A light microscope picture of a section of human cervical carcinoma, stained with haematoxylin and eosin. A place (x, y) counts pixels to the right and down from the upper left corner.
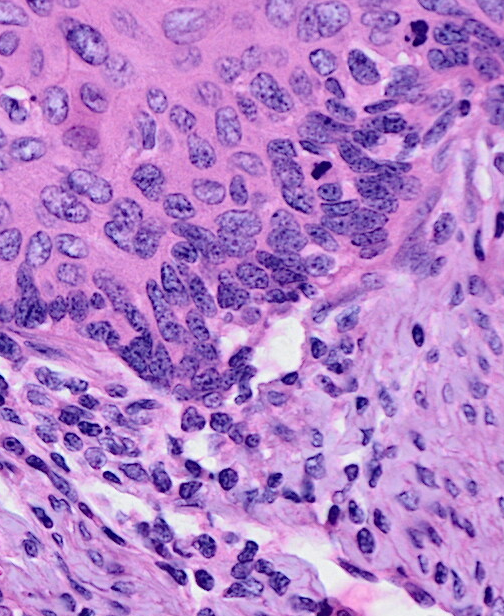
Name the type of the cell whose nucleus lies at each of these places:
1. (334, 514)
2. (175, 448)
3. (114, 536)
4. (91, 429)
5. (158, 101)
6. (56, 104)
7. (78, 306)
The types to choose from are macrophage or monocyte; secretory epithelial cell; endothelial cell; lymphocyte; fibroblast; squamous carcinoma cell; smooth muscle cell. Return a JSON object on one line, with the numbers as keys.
{"1": "lymphocyte", "2": "lymphocyte", "3": "lymphocyte", "4": "lymphocyte", "5": "squamous carcinoma cell", "6": "squamous carcinoma cell", "7": "squamous carcinoma cell"}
